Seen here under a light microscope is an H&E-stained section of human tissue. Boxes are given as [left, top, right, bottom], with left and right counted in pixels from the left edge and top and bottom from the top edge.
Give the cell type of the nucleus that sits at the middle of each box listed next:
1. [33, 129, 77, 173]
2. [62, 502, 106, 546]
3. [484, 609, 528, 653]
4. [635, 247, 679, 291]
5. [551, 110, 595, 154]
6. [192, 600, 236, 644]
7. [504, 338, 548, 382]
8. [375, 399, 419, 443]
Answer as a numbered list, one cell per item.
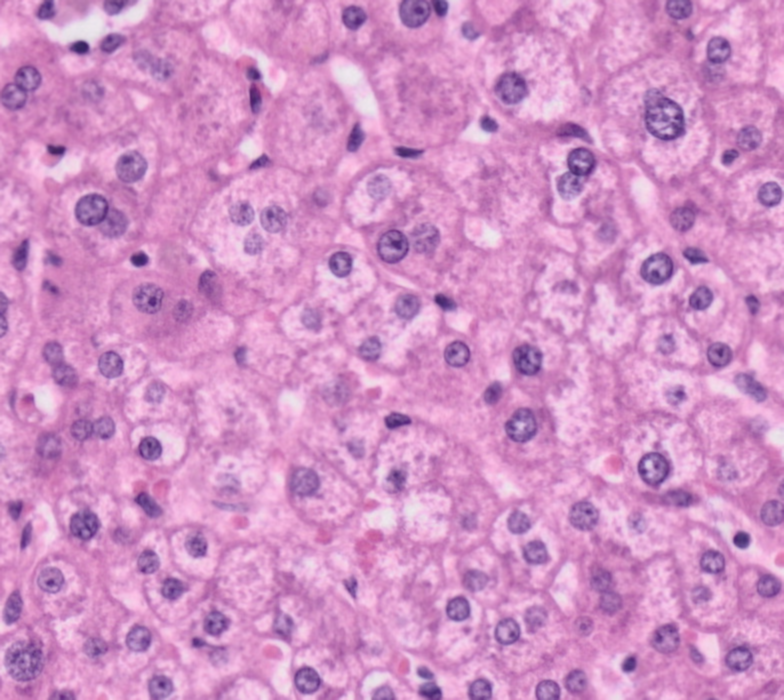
1. endothelial cell
2. hepatocyte
3. hepatocyte
4. hepatocyte
5. Kupffer cell
6. hepatocyte
7. hepatocyte
8. fibroblast or stellate cell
